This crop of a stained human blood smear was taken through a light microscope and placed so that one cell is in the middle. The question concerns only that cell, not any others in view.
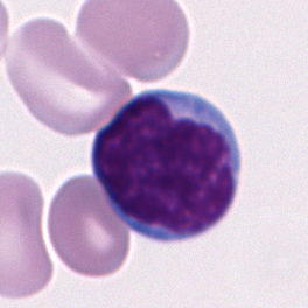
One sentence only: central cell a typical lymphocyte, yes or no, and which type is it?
Yes, the cell sitting in the center is a typical lymphocyte.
